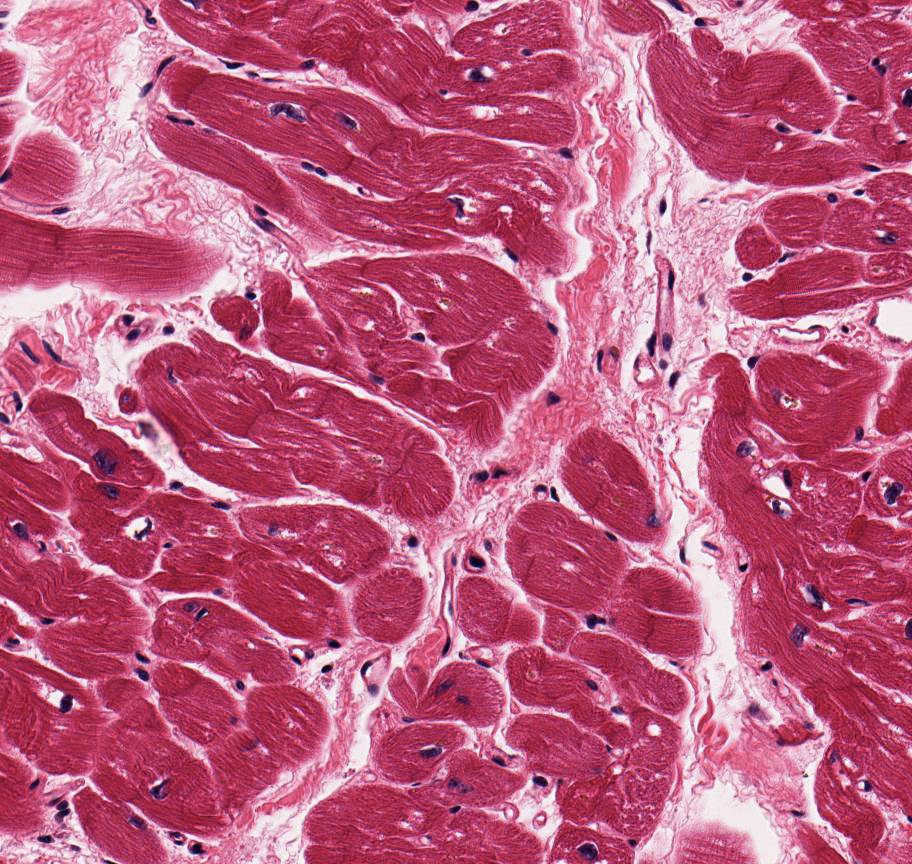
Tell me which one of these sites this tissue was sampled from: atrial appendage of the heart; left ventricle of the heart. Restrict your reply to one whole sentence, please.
This section of tissue was taken from the left ventricle of the heart.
